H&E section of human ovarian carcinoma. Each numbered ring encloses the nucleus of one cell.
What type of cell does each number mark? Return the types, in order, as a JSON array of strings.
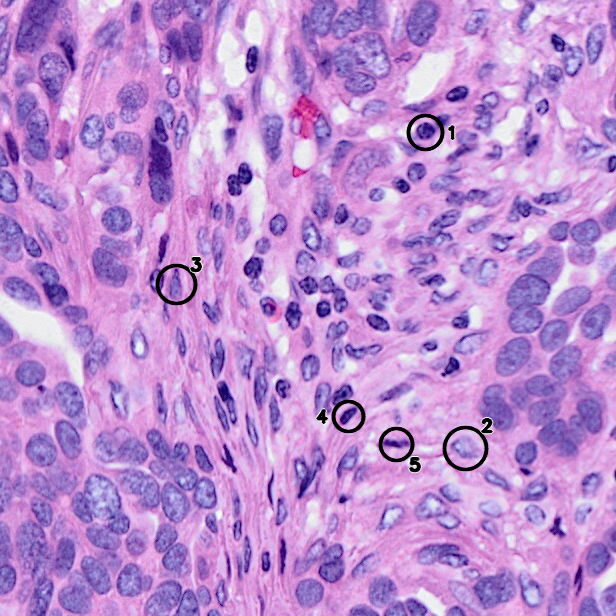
["lymphocyte", "fibroblast", "fibroblast", "lymphocyte", "fibroblast"]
